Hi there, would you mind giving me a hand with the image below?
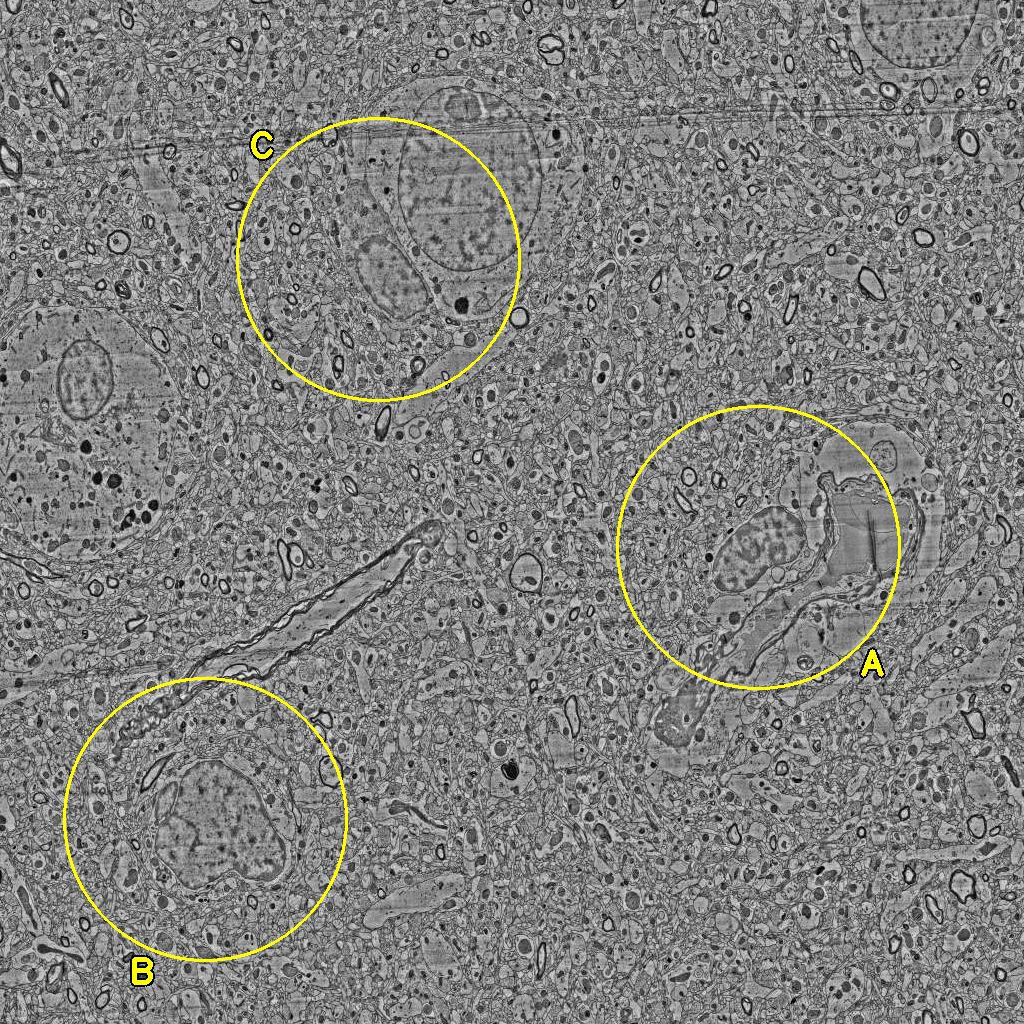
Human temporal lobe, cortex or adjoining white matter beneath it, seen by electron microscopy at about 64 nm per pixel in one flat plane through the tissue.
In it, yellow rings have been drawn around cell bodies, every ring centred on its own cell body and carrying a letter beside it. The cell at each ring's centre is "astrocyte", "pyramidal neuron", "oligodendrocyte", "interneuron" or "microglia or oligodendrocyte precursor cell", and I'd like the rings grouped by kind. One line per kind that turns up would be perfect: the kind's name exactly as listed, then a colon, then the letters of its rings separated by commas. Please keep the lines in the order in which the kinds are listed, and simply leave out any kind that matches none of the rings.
oligodendrocyte: C
microglia or oligodendrocyte precursor cell: A, B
